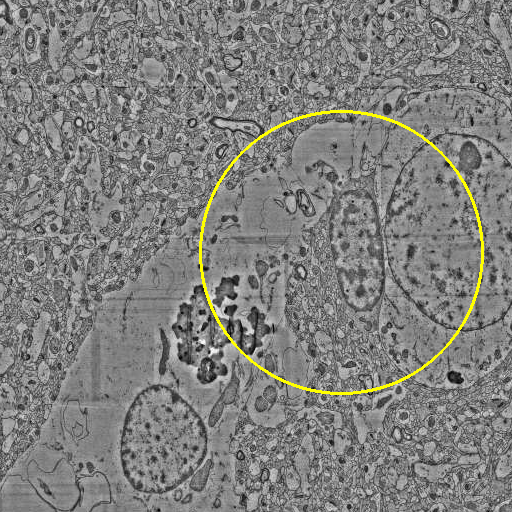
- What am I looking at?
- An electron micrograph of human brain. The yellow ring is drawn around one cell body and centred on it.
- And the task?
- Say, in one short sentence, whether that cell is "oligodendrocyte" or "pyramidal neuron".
The cell in the middle of the ring is an oligodendrocyte.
